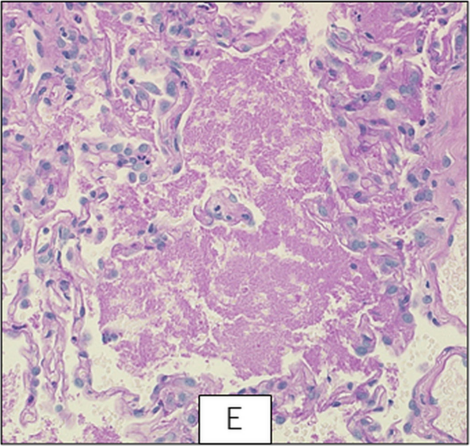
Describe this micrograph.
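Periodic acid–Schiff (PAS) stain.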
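Lung tissue in which an alveolar space is filled by a large mass of finely granular material stained magenta to pink-purple. It is surrounded by thin alveolar septa that carry scattered oval nuclei stained blue-purple, with pale pink walls. The granular material is acellular and has a stippled texture. It almost fills the airspace, leaving narrow clear gaps against the septal walls. Neighbouring airspaces at the edges of the field are largely clear, with pale background.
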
